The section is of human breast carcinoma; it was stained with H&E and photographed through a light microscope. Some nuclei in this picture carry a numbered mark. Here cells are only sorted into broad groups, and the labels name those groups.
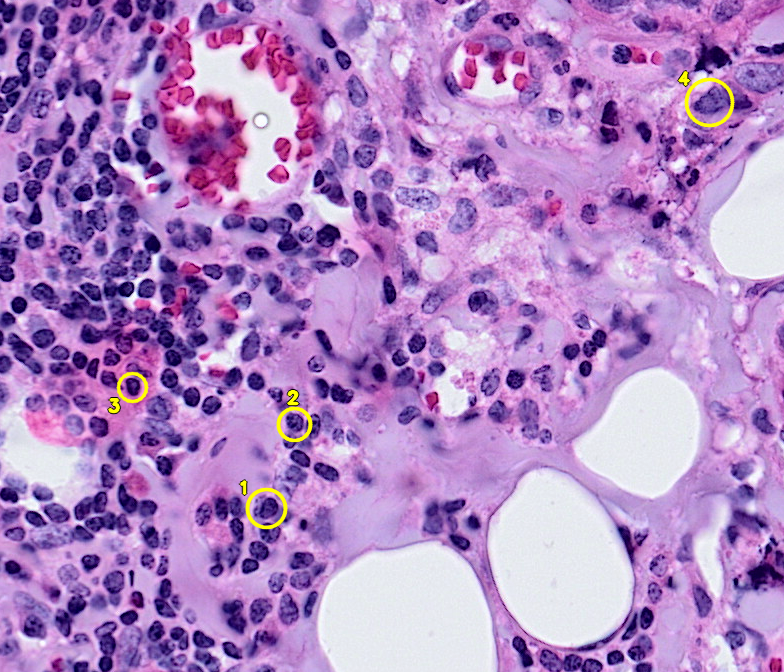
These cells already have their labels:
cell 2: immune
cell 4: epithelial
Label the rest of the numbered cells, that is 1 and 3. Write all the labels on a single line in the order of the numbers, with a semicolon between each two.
immune; immune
